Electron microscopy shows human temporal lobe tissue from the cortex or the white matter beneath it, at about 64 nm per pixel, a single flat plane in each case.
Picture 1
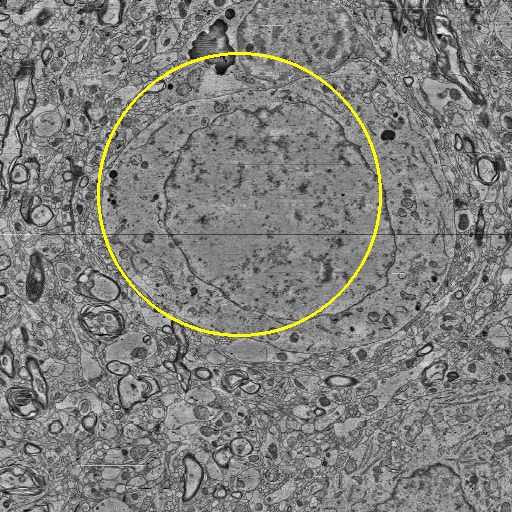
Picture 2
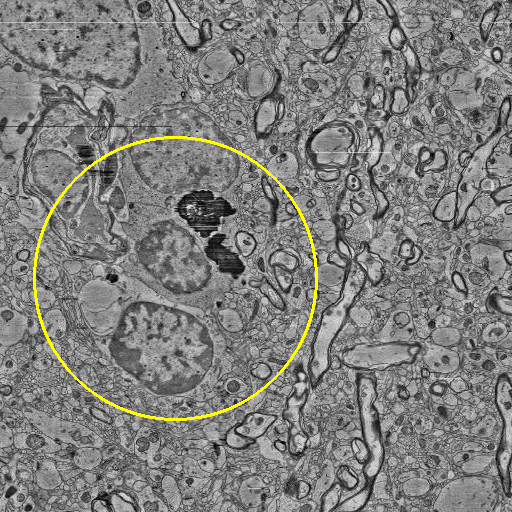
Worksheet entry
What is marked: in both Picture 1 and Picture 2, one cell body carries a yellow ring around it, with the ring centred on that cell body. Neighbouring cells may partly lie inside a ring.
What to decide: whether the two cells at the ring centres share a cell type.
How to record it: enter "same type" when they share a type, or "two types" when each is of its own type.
two types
